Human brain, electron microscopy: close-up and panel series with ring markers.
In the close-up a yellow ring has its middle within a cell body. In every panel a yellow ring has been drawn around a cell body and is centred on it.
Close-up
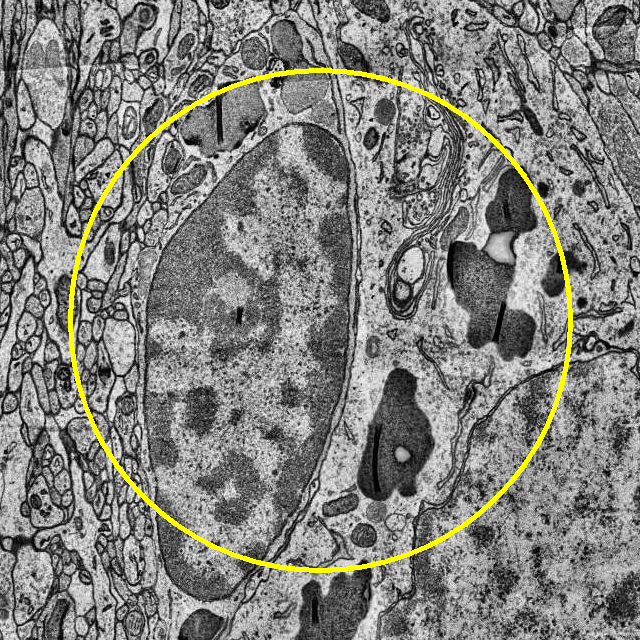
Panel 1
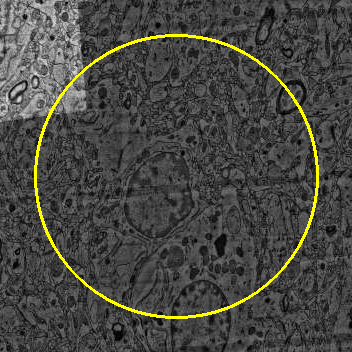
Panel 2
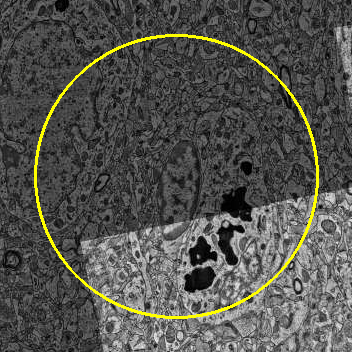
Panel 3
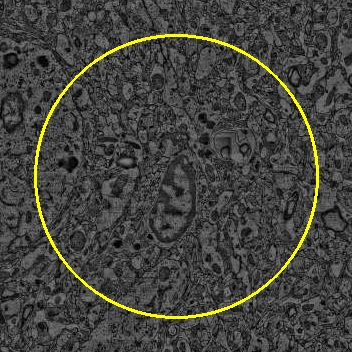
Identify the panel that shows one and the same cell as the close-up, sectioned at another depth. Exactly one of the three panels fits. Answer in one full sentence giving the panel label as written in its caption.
The cell shown in the close-up is the one marked in Panel 2.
